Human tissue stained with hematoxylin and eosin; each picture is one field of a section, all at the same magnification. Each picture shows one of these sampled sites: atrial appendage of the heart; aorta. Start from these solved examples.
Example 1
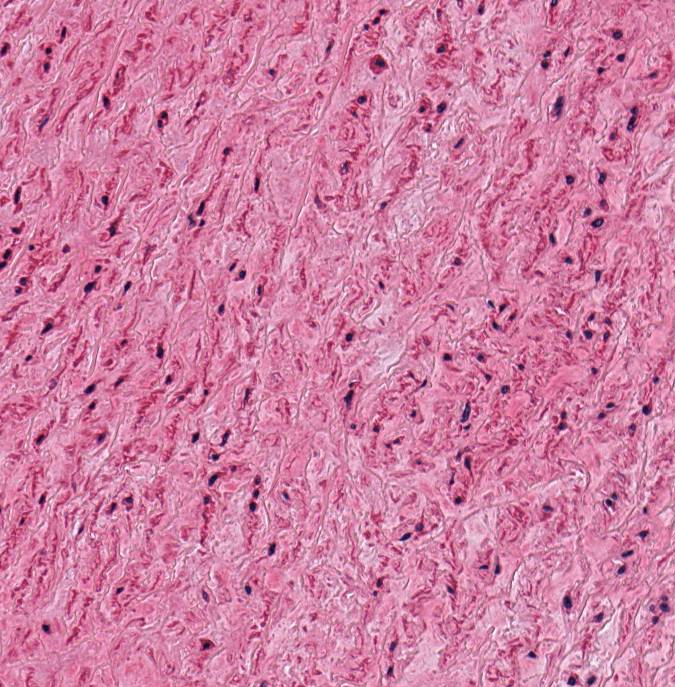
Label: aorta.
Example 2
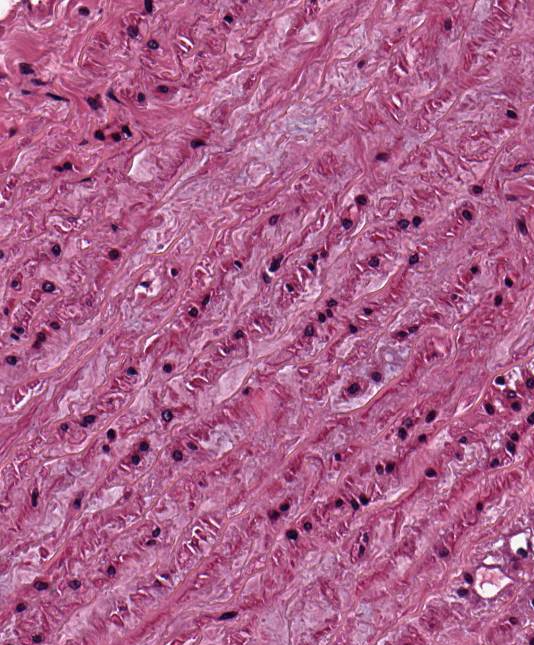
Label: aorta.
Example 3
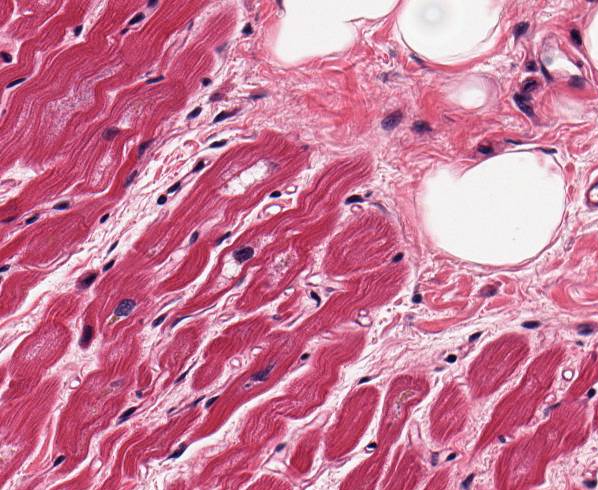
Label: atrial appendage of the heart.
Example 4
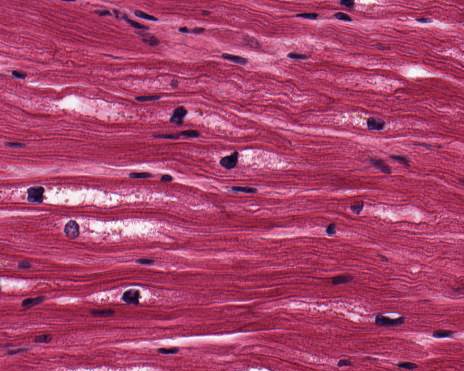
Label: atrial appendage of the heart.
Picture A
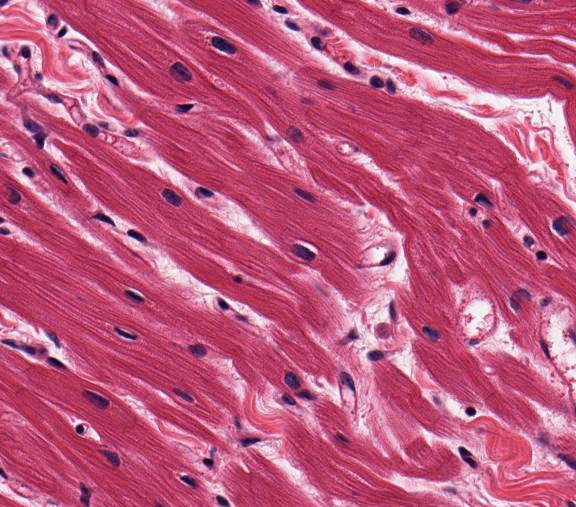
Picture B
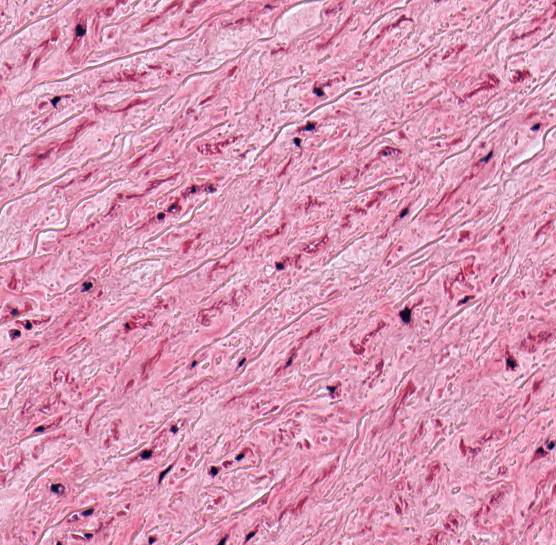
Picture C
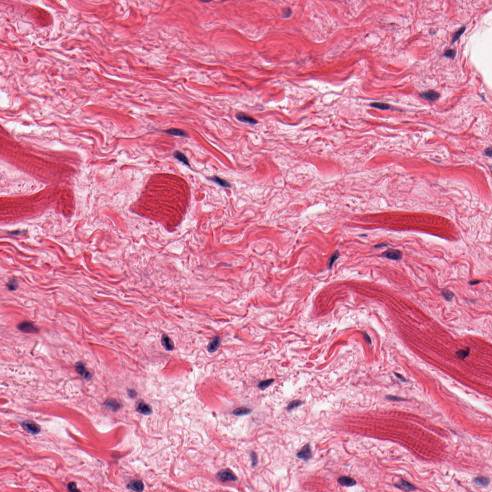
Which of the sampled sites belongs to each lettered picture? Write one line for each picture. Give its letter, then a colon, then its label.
A: atrial appendage of the heart.
B: aorta.
C: atrial appendage of the heart.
